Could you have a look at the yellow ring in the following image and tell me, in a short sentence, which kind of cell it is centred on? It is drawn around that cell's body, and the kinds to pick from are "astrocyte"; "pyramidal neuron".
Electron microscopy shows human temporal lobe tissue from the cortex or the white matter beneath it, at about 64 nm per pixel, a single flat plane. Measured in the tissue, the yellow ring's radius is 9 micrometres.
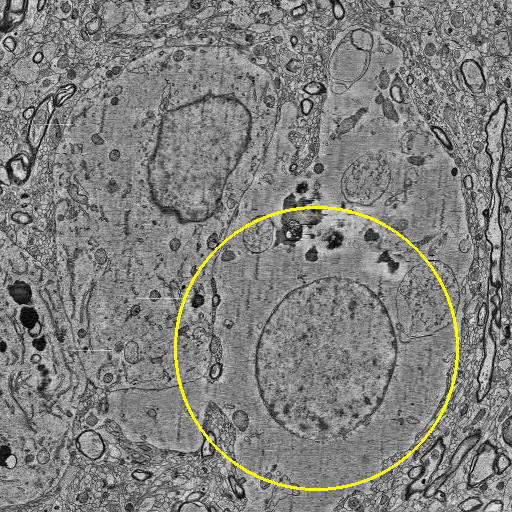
The ring is centred on the body of an astrocyte.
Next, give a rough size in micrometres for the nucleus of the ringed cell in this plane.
The nucleus appears roughly 11 by 9 micrometres in this plane.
